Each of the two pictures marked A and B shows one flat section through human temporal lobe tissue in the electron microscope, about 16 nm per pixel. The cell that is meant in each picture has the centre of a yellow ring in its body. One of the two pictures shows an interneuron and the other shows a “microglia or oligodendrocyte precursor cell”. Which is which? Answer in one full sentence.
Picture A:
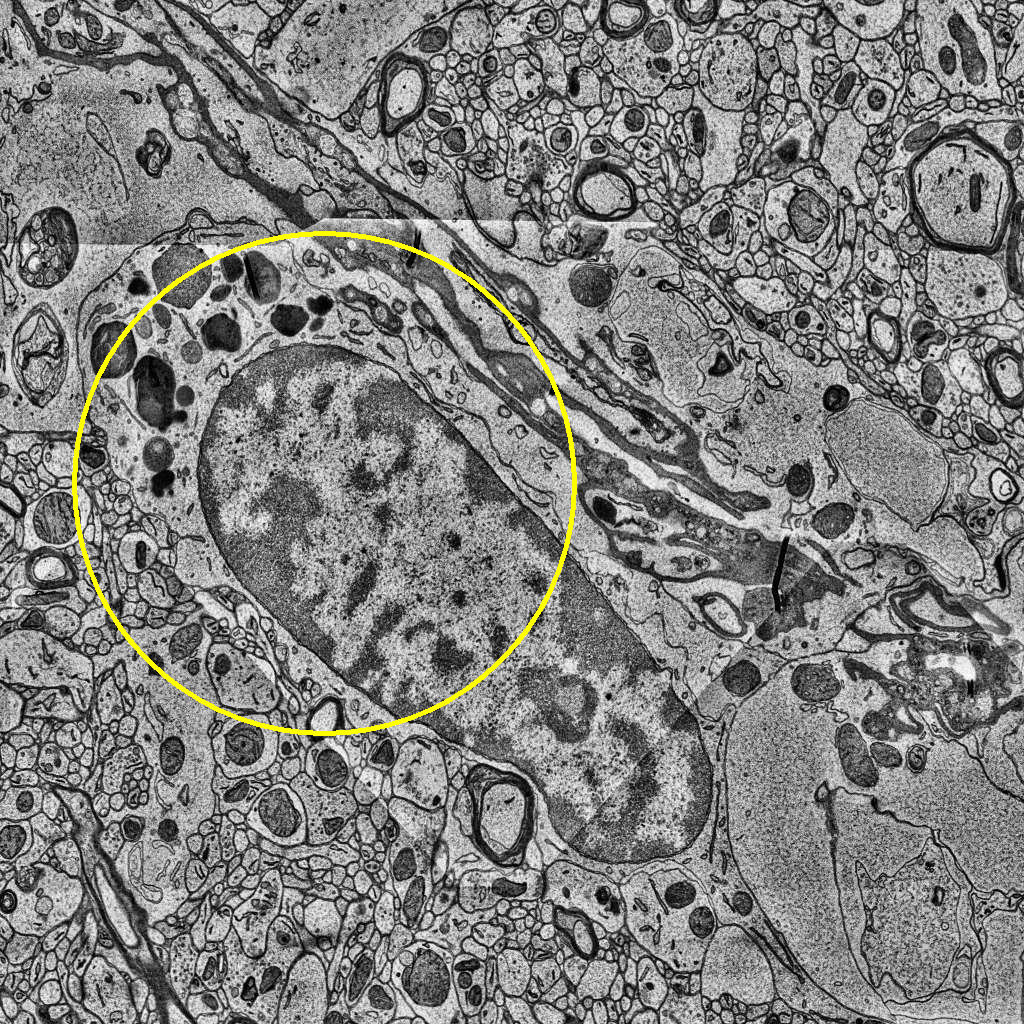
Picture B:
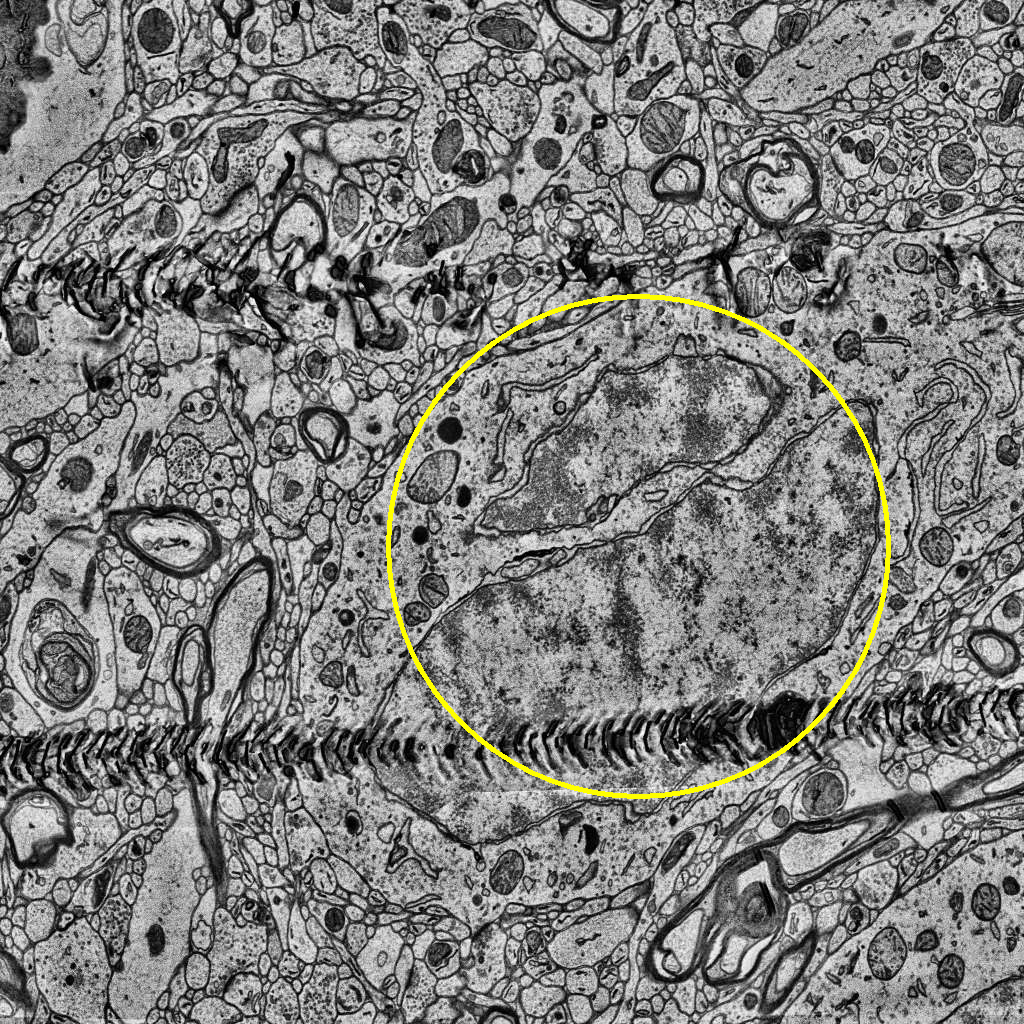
In picture A the cell is a “microglia or oligodendrocyte precursor cell”; in picture B, an interneuron.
